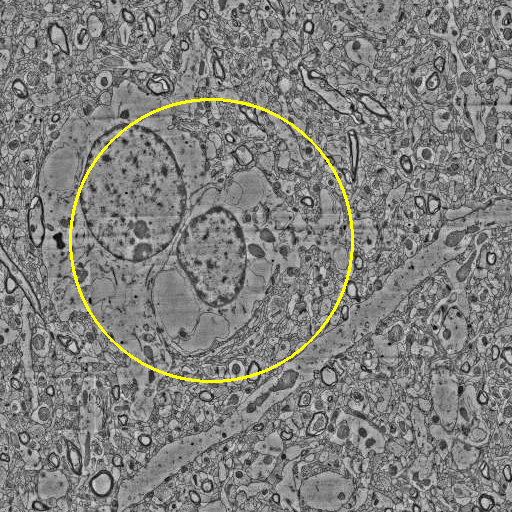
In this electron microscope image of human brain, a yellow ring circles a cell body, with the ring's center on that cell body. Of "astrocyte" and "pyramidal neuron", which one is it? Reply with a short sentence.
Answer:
It is an astrocyte at the center of the ring.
